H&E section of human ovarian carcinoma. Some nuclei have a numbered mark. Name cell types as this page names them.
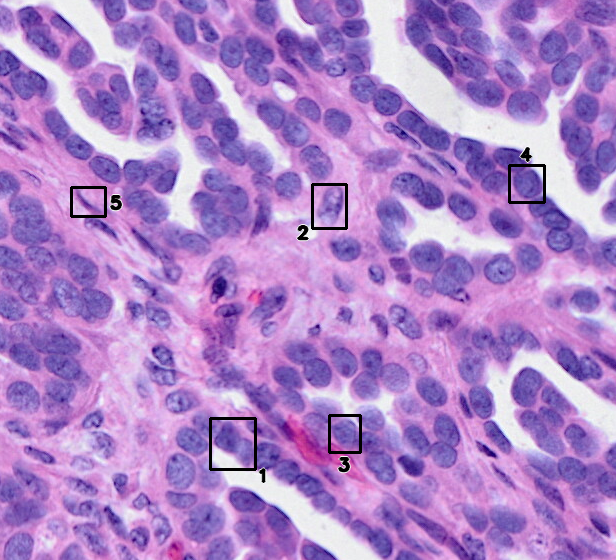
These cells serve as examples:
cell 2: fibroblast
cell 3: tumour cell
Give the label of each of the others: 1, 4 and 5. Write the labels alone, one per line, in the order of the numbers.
tumour cell
tumour cell
fibroblast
